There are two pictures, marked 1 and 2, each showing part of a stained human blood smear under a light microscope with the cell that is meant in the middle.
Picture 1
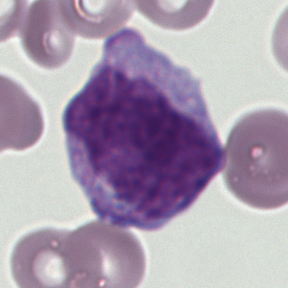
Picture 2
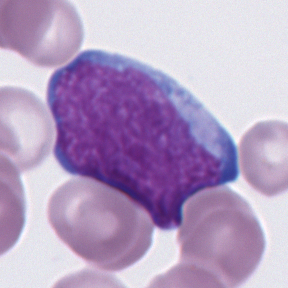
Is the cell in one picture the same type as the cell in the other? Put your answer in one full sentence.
No, picture 1 shows an atypical promyelocyte and picture 2 shows a myeloblast.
